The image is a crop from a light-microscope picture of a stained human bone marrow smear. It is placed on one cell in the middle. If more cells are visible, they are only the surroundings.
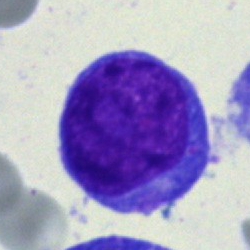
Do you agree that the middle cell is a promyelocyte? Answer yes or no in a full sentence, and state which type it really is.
No, it is not a promyelocyte that lies in the middle but a blast.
